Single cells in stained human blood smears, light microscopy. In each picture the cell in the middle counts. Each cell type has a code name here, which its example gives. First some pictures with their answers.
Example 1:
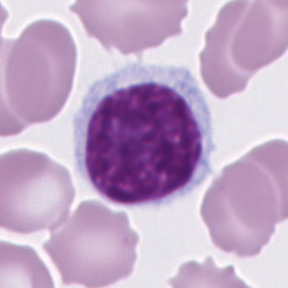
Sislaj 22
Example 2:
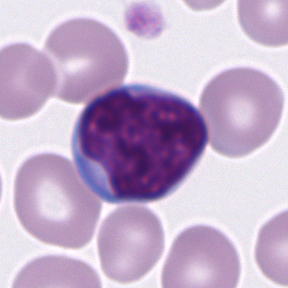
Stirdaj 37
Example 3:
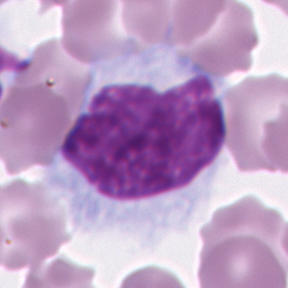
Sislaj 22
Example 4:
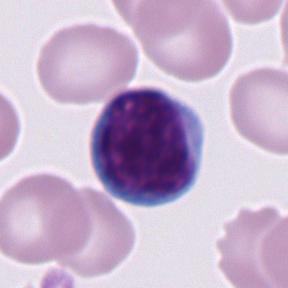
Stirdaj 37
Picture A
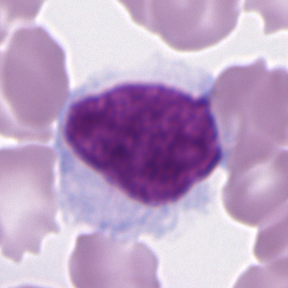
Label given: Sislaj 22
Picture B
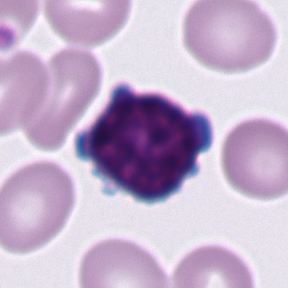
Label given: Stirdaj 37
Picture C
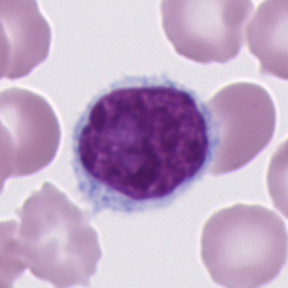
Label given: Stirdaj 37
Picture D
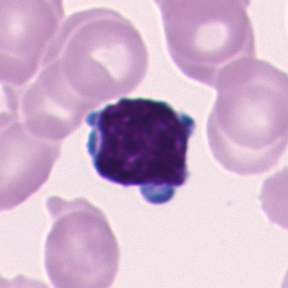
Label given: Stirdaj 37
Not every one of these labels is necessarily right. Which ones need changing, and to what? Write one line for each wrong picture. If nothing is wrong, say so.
C: not Stirdaj 37 but Sislaj 22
